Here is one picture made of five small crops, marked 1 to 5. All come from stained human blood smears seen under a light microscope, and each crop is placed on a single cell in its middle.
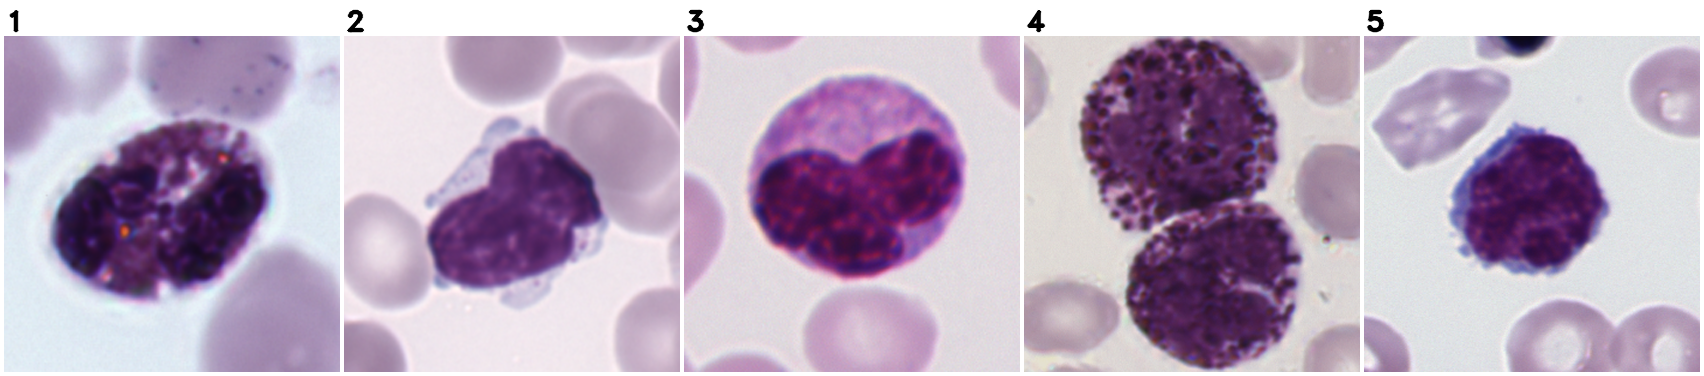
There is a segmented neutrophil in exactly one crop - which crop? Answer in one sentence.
In this set, crop 3 is the one showing a segmented neutrophil.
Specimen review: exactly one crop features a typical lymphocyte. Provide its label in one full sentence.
The crop that has a typical lymphocyte in the middle is crop 5.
